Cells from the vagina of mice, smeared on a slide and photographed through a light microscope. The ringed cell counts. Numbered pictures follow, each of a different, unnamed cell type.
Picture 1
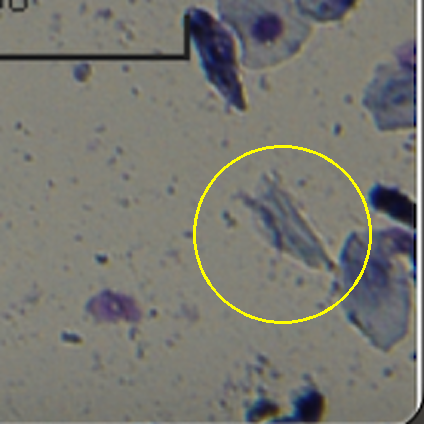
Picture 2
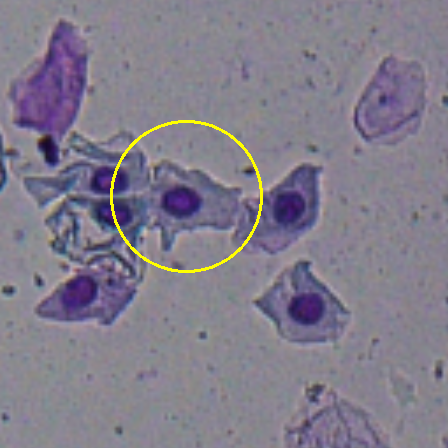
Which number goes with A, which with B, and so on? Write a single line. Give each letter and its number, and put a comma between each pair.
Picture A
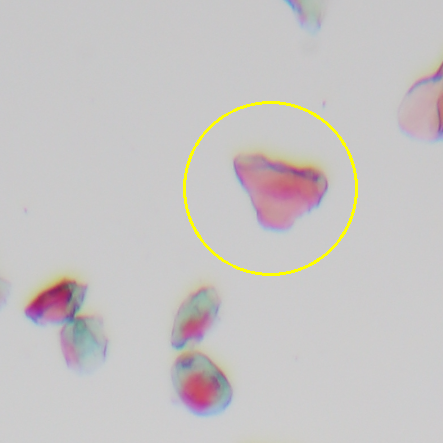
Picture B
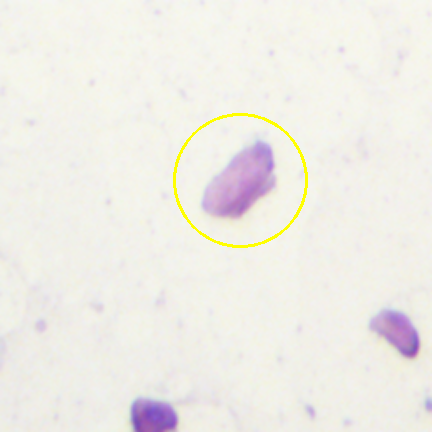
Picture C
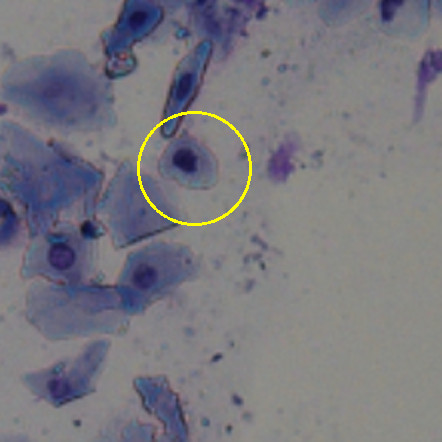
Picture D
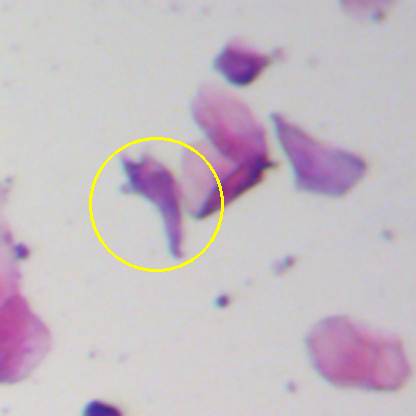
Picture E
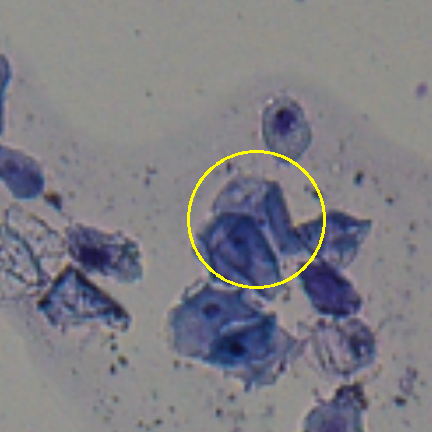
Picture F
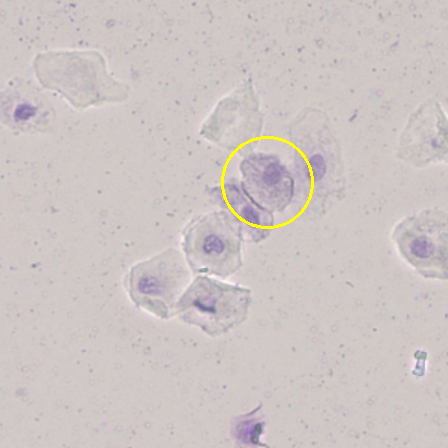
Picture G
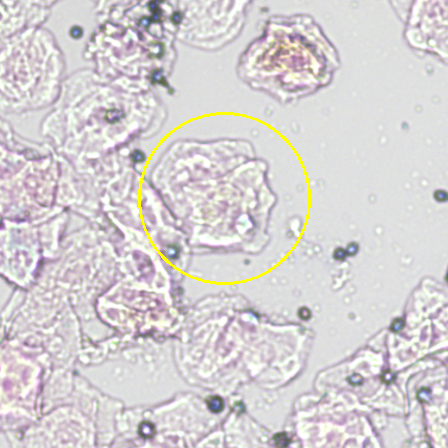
A 1, B 1, C 2, D 1, E 1, F 2, G 1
